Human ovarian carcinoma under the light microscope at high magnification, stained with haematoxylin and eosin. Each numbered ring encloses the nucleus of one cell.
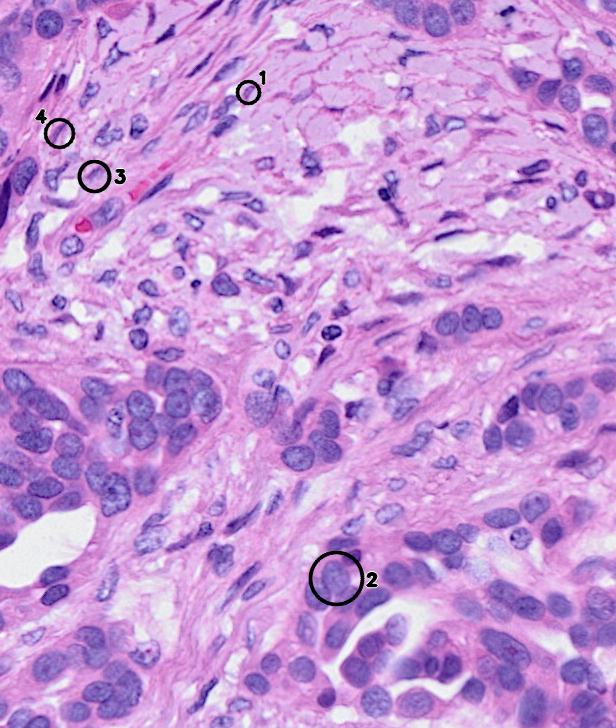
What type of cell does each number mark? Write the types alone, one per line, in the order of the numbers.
fibroblast
carcinoma cell
fibroblast
fibroblast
